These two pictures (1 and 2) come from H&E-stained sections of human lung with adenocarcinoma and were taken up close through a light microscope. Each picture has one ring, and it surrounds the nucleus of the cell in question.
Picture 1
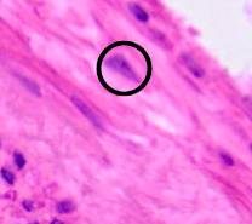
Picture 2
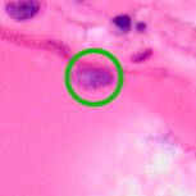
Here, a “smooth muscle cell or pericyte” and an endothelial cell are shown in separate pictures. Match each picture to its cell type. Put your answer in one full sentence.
Picture 2 shows an endothelial cell, while picture 1 shows a “smooth muscle cell or pericyte”.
